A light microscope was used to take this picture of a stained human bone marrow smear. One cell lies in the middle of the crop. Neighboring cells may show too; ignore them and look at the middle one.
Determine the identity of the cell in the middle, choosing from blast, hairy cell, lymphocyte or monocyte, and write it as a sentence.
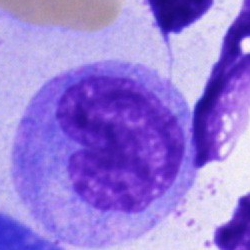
The cell at the central position in this crop is a monocyte.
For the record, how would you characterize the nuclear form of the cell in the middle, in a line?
A single compact nucleus, round, oval or kidney-shaped, is what this cell shows.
